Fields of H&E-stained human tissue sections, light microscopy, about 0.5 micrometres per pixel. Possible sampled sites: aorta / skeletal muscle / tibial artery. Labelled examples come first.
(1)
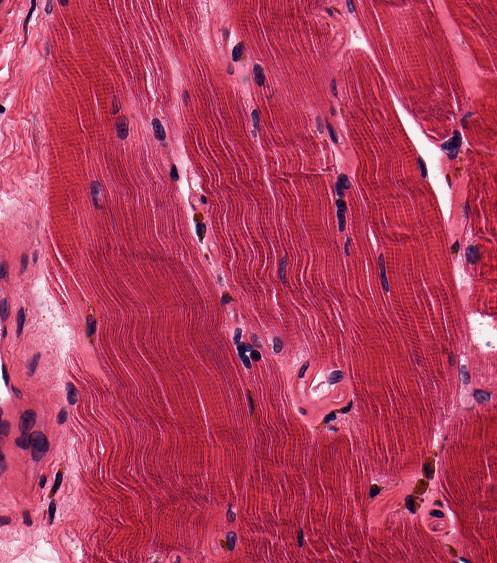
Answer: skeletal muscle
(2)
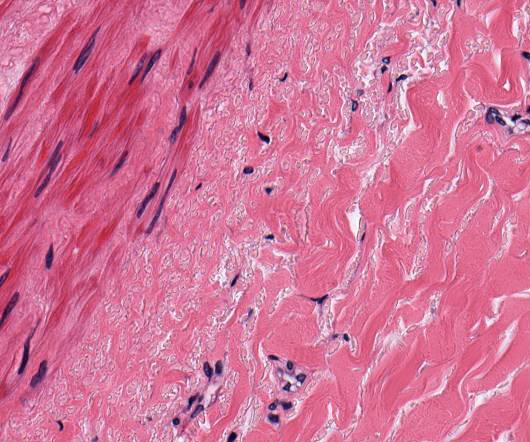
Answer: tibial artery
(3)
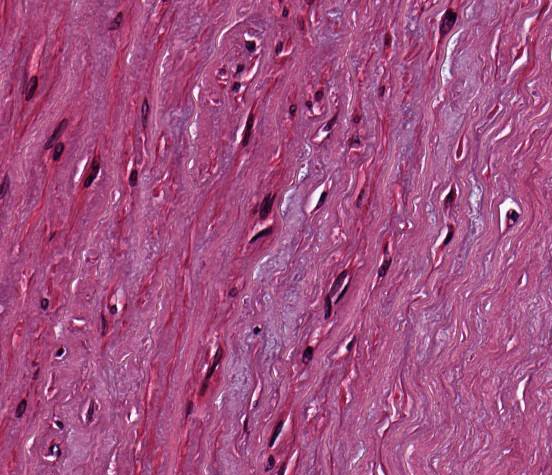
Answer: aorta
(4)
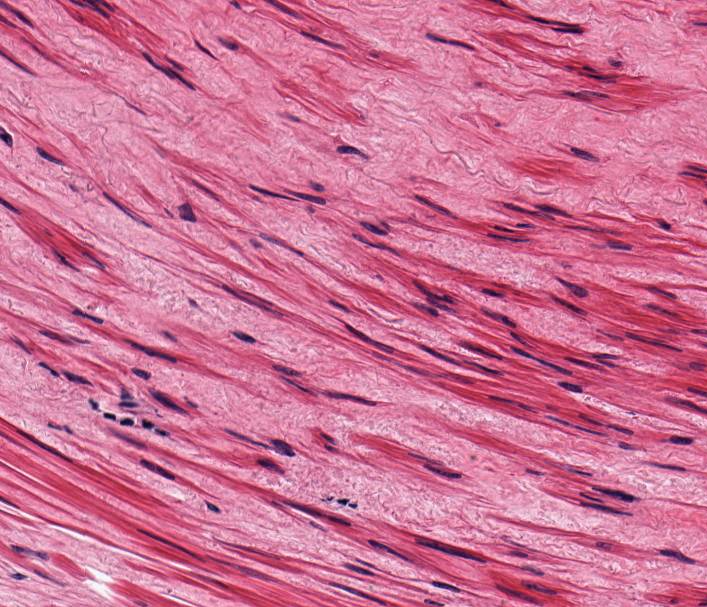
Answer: tibial artery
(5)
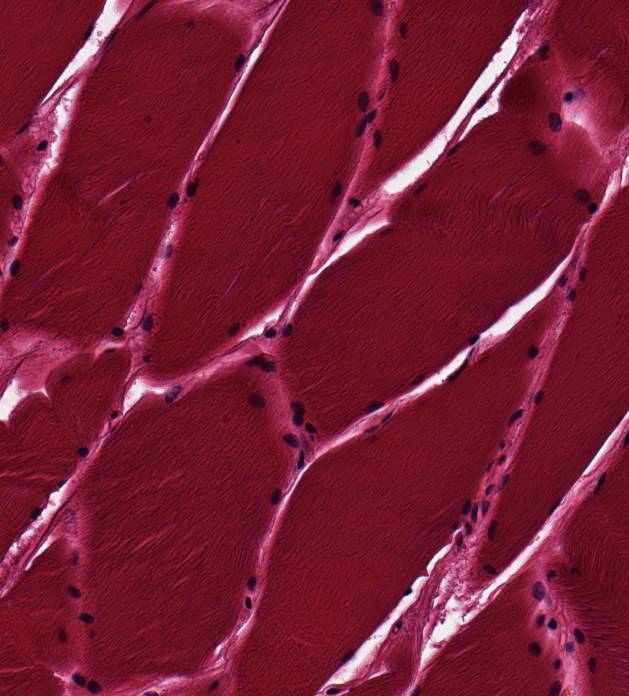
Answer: skeletal muscle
